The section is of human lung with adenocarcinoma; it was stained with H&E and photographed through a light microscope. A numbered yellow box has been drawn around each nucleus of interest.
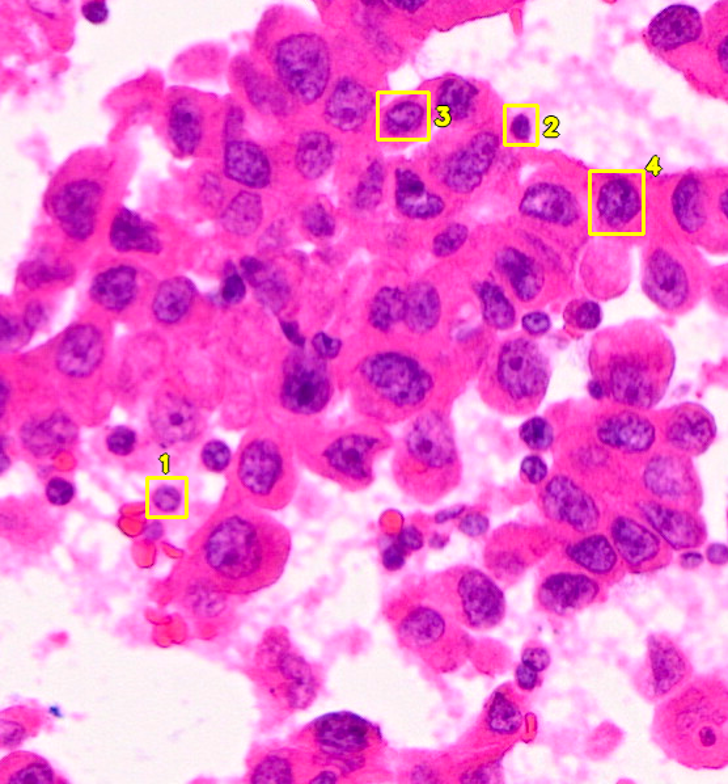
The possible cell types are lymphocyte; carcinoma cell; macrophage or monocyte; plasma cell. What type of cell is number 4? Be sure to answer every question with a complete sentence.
The nucleus with number 4 is that of a carcinoma cell.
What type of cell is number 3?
Cell 3 in the field of view is a carcinoma cell.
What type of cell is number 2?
The cell marked with number 2 is a lymphocyte.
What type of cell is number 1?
The cell marked with number 1 is a lymphocyte.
